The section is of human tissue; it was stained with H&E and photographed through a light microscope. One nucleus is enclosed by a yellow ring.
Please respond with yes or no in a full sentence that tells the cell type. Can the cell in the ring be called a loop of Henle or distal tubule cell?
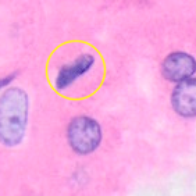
No, the cell in the ring is an endothelial cell instead of a loop of Henle or distal tubule cell.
